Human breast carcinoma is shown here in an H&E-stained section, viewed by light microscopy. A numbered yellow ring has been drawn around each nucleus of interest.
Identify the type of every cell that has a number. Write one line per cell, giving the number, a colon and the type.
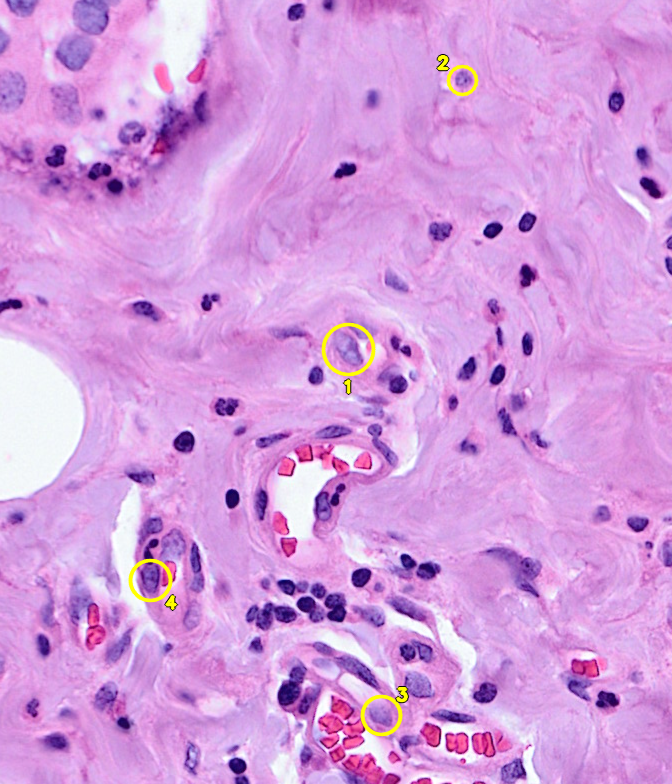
1: endothelial cell
2: mast cell
3: endothelial cell
4: endothelial cell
